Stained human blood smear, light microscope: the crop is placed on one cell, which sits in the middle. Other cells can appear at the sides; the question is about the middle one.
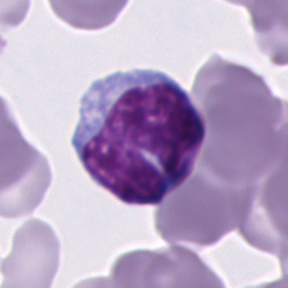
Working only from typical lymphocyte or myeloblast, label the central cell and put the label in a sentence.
The single cell at the center of the crop is a typical lymphocyte.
